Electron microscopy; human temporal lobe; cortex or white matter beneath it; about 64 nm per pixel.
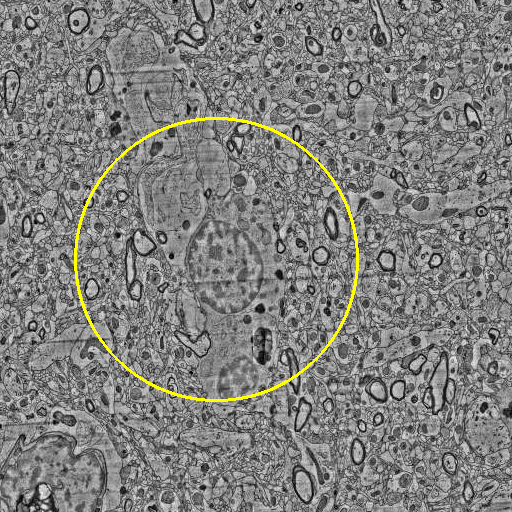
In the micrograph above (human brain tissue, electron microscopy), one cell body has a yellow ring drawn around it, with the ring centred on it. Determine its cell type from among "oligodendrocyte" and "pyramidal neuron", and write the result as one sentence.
The cell whose body is ringed is an oligodendrocyte.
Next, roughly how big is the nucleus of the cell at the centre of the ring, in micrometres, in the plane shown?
The nucleus measures about 6 by 5 micrometres in this plane.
